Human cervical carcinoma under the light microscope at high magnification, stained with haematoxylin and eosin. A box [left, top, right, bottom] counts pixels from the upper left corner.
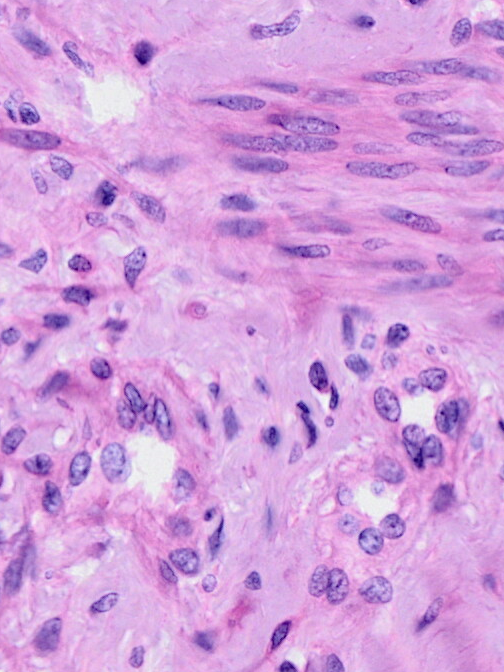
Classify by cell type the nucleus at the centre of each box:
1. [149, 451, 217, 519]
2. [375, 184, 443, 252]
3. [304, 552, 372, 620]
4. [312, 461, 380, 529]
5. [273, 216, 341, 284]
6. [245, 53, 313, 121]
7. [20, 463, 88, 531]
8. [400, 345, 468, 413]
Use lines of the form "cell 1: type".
cell 1: endothelial cell
cell 2: smooth muscle cell
cell 3: endothelial cell
cell 4: endothelial cell
cell 5: smooth muscle cell
cell 6: smooth muscle cell
cell 7: endothelial cell
cell 8: endothelial cell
